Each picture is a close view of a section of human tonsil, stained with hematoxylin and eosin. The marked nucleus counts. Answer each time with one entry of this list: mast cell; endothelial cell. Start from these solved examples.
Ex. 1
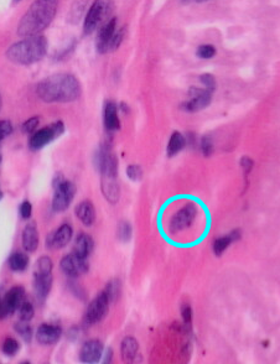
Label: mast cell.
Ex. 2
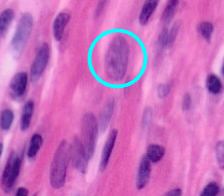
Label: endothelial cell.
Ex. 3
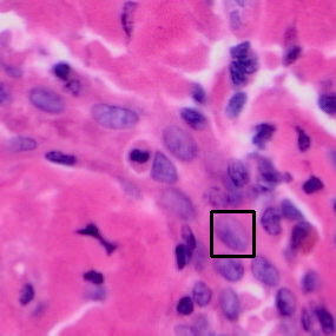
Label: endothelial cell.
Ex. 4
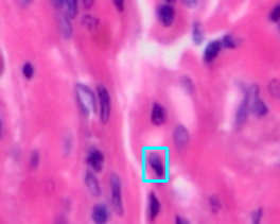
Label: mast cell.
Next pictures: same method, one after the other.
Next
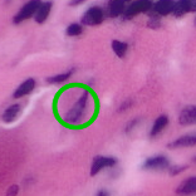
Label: endothelial cell.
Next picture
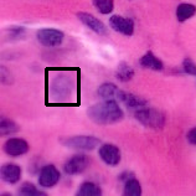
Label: endothelial cell.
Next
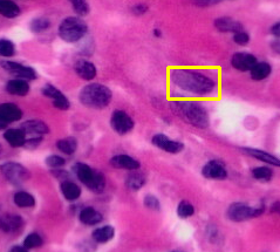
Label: endothelial cell.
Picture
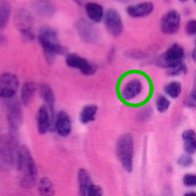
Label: mast cell.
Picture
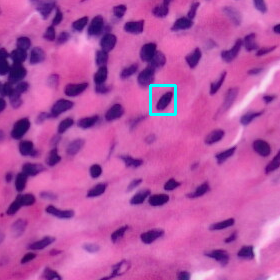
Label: mast cell.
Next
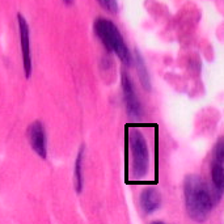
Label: endothelial cell.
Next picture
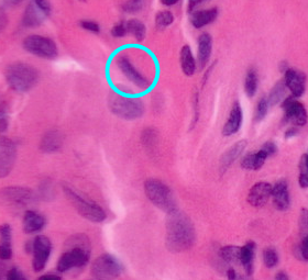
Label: endothelial cell.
